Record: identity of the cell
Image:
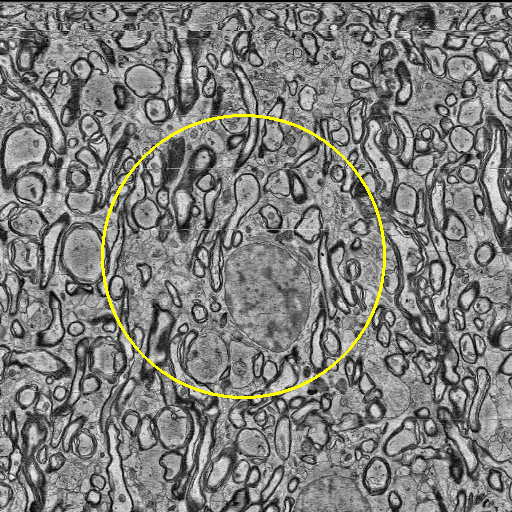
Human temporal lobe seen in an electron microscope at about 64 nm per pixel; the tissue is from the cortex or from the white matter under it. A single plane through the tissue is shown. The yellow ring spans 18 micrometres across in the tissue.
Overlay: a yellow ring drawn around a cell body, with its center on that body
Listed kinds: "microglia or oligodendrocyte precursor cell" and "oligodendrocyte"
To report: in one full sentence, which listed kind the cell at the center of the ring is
In the image, the cell body at the ring's center belongs to a microglial cell or oligodendrocyte precursor cell.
